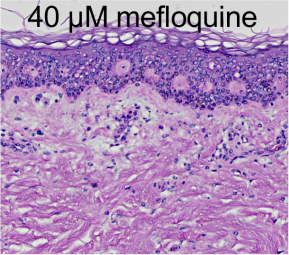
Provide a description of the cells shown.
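A section of skin shows a stratified epidermis with a flaky pink layer of keratin on top and a loose pink dermis below. The lower epidermis is crowded with small, dark purple nuclei, and small round dermal papillae cut across appear within it. The epidermis stays attached to the dermis, where scattered cells and a small vessel lie among pale collagen fibres.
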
